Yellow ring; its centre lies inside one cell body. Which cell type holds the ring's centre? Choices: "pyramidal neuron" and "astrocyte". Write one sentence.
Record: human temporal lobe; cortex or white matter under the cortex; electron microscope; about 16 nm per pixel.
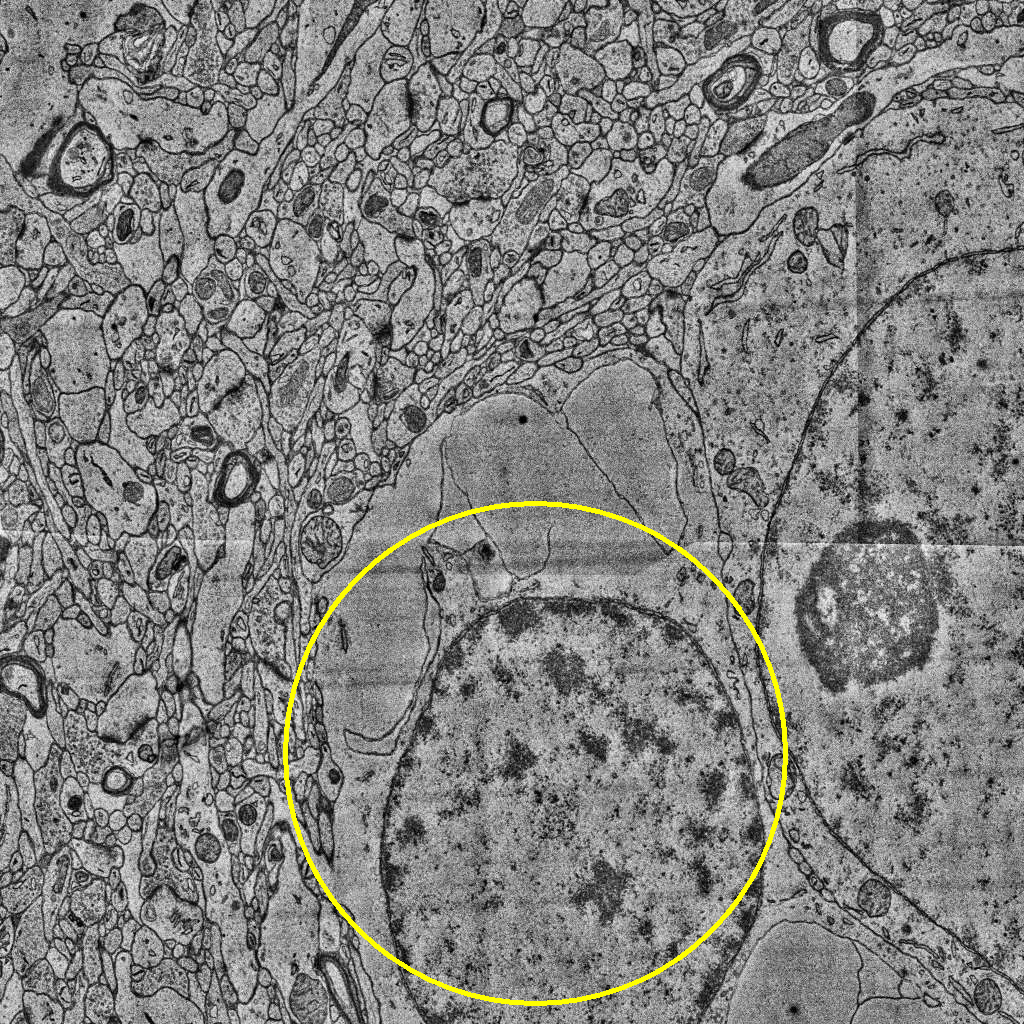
At the centre of the ring sits an astrocyte.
